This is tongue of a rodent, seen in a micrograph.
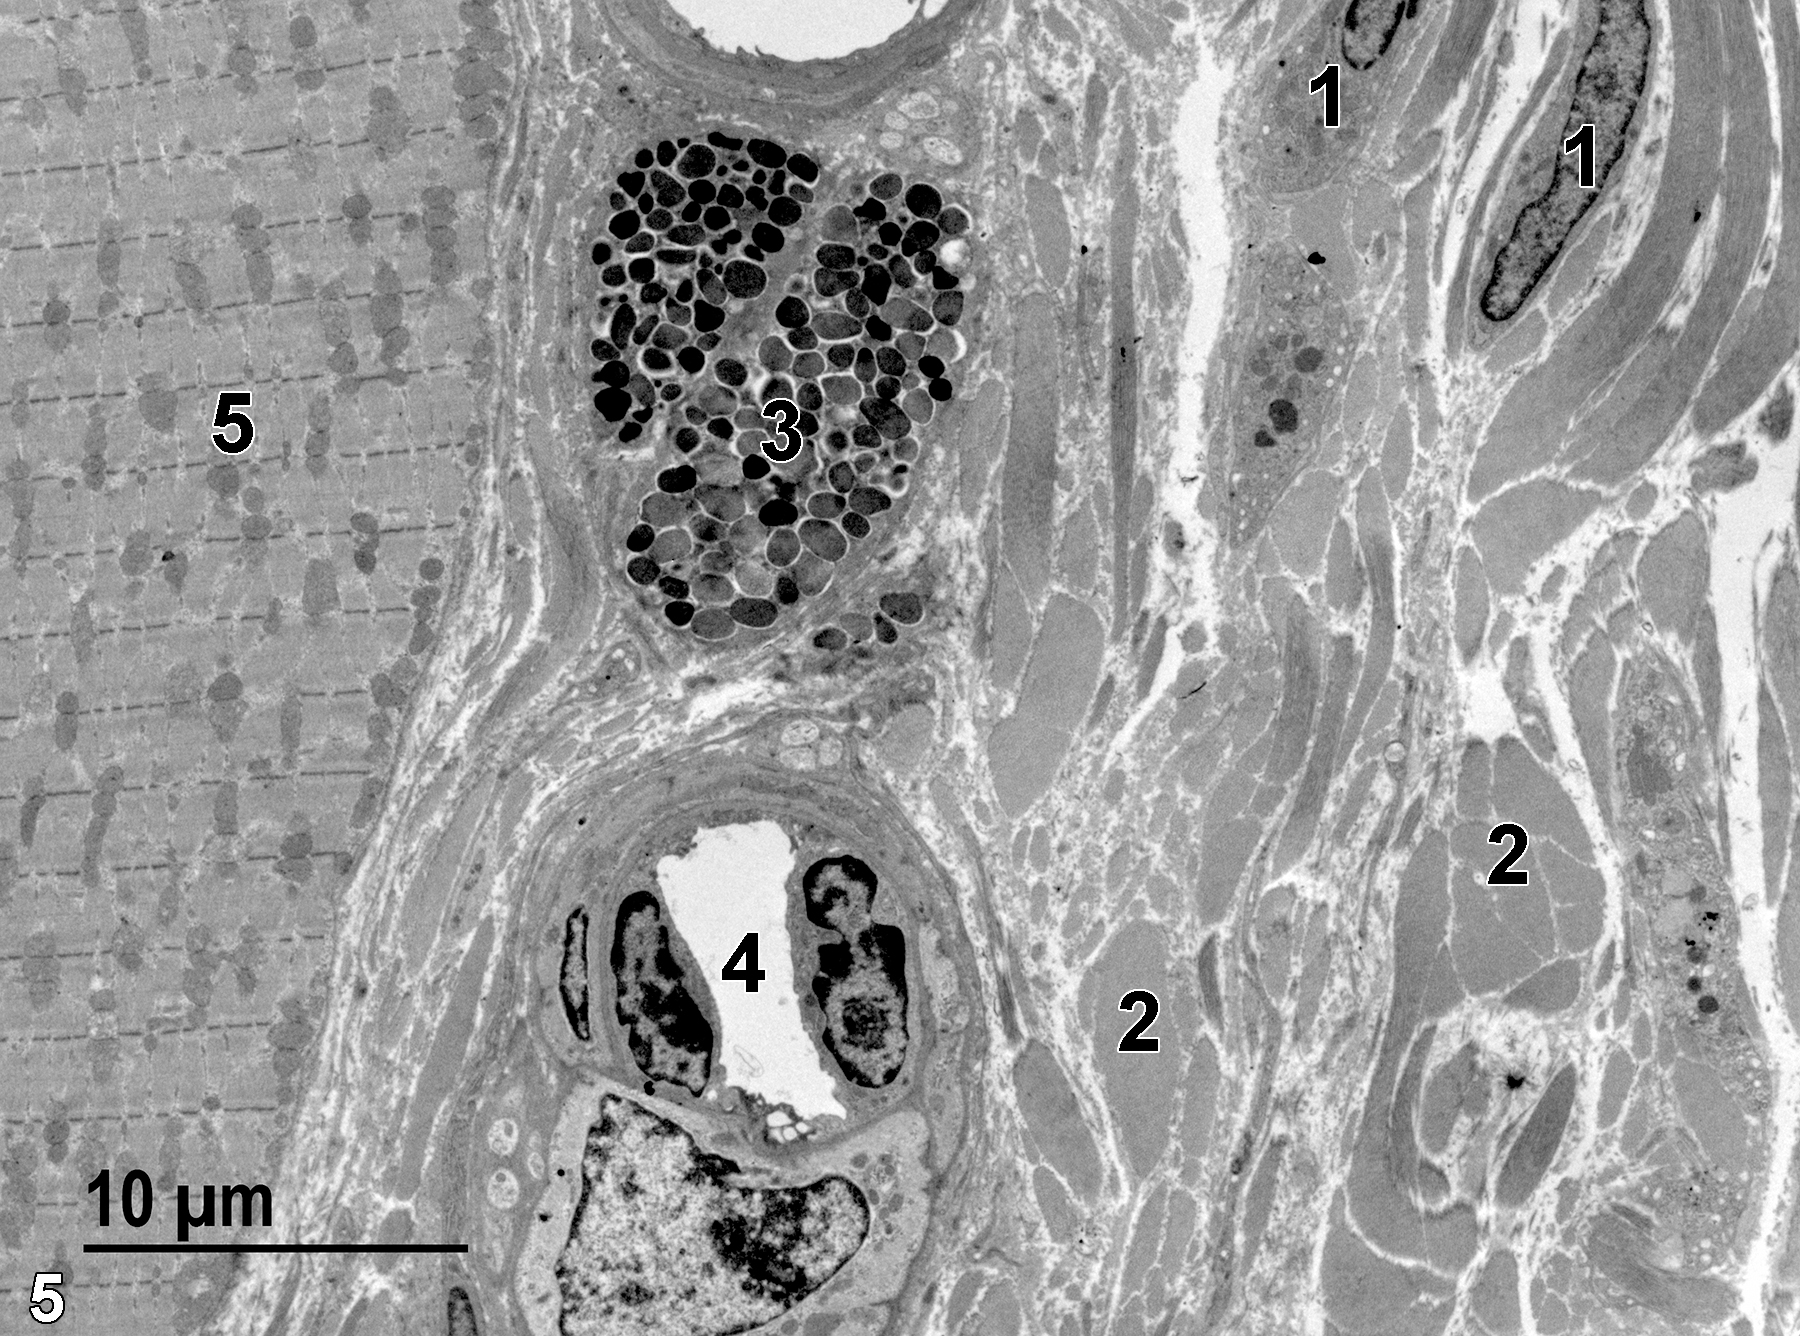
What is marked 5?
5 marks the striated muscle cell.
